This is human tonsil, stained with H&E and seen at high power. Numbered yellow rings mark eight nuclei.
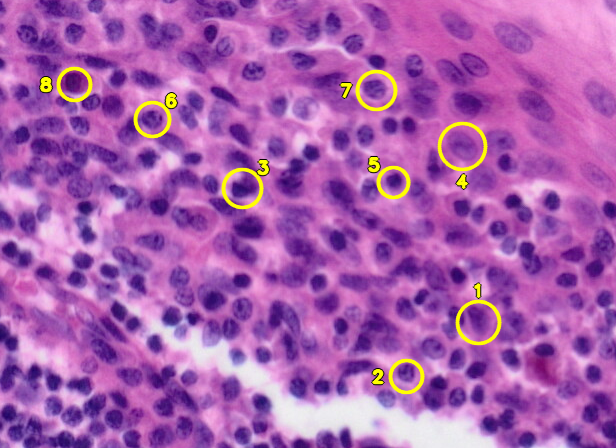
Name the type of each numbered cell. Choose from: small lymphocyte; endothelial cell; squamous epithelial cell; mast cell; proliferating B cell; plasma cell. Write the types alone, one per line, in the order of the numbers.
squamous epithelial cell
plasma cell
squamous epithelial cell
squamous epithelial cell
plasma cell
plasma cell
plasma cell
plasma cell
